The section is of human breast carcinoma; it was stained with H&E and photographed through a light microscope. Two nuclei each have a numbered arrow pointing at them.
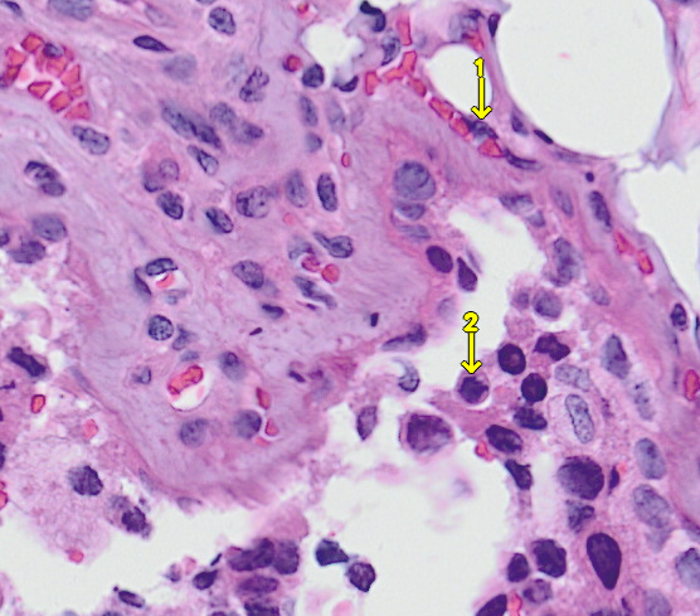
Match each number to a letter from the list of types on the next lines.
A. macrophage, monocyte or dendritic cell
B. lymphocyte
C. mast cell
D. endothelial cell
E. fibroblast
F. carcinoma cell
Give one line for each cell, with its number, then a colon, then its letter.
1: D
2: F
